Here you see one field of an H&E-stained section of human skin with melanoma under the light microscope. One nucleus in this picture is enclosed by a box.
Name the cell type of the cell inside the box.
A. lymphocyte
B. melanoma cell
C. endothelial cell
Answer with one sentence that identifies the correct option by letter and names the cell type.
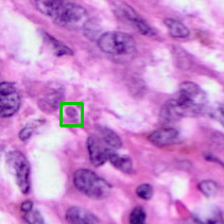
The correct option is B, as the cell inside the box is a melanoma cell.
